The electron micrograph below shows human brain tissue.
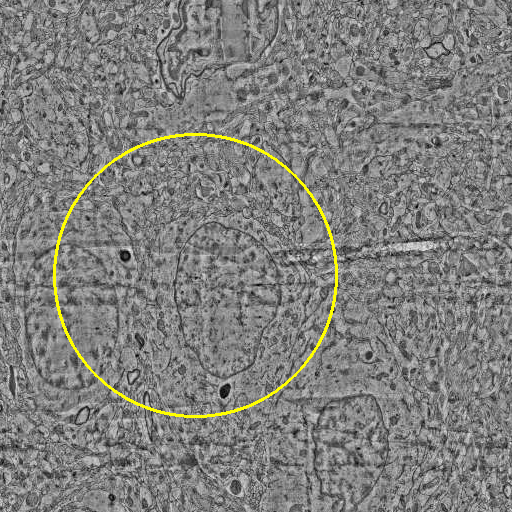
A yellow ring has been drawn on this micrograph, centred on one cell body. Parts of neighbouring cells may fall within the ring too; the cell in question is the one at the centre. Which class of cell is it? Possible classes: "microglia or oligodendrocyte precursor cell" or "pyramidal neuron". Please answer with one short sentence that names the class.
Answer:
In the centre of the ring sits a pyramidal neuron.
